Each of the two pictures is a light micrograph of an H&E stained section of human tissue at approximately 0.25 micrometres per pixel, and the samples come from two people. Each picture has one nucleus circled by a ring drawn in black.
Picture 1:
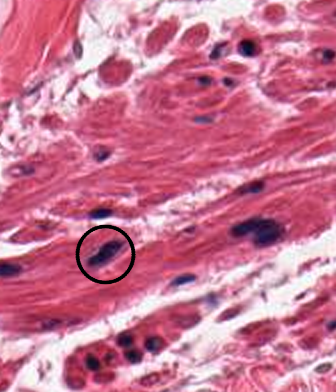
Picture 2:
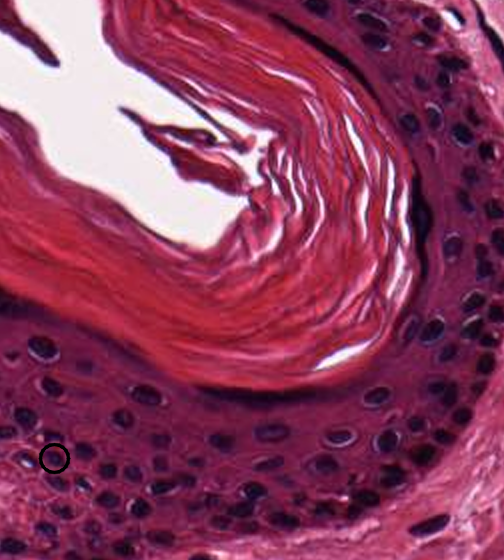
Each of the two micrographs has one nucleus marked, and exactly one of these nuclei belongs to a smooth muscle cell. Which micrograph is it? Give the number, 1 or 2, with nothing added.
1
